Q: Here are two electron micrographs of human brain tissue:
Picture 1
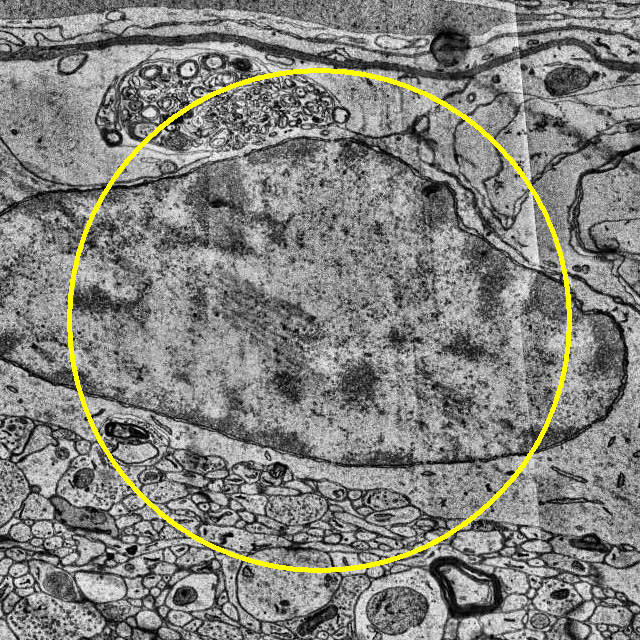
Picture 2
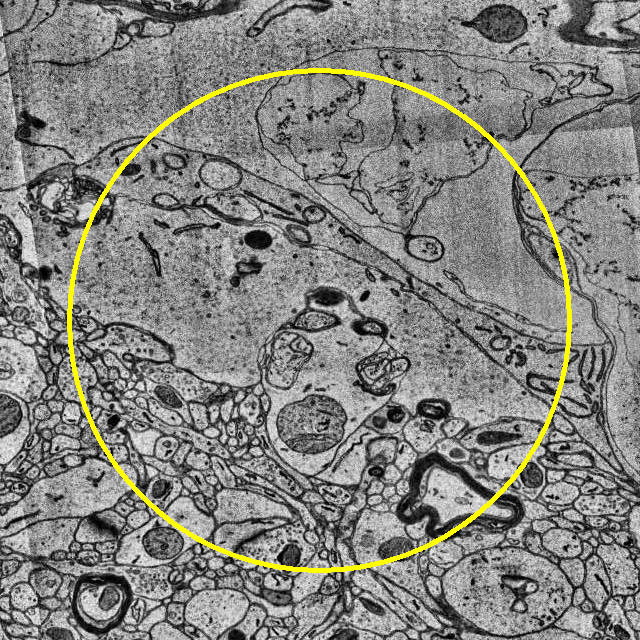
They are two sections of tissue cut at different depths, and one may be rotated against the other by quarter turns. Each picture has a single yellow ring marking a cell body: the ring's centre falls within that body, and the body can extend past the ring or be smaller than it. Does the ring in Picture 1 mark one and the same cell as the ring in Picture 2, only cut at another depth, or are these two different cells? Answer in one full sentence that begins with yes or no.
Yes, the two rings refer to one cell in the tissue.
